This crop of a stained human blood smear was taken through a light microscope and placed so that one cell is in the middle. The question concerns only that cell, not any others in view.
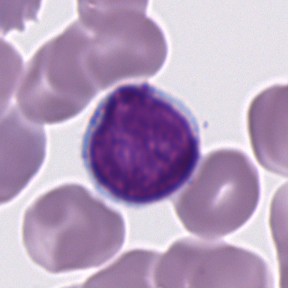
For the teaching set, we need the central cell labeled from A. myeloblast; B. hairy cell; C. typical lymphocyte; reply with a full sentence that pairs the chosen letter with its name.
Of the choices given, option C is right, as the central cell is a typical lymphocyte.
